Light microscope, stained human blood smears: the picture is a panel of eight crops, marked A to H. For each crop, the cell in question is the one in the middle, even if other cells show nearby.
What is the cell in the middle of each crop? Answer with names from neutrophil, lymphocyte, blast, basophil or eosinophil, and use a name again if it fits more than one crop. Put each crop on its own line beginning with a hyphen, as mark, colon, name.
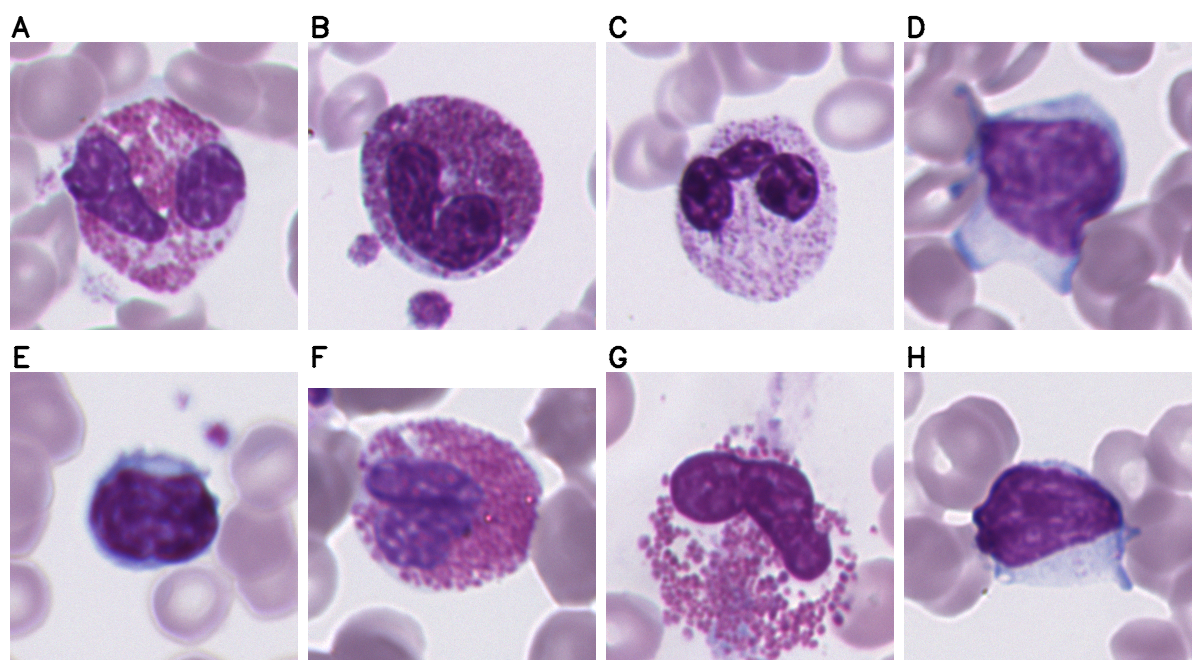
- A: eosinophil
- B: eosinophil
- C: neutrophil
- D: blast
- E: lymphocyte
- F: eosinophil
- G: eosinophil
- H: lymphocyte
